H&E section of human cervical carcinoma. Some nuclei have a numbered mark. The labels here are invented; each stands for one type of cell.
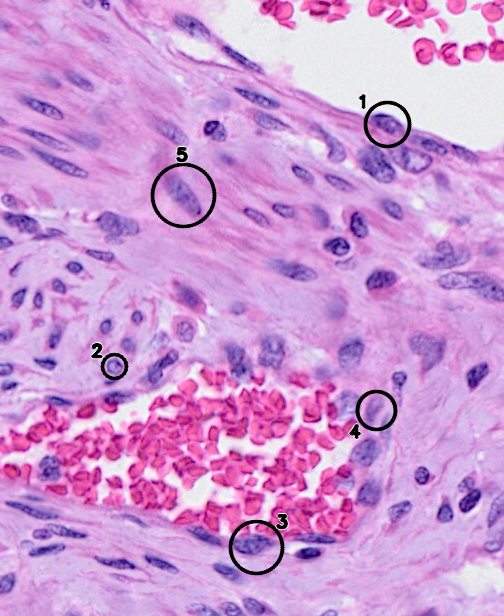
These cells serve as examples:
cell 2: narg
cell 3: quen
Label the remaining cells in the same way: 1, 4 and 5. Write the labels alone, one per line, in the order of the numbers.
quen
quen
narg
